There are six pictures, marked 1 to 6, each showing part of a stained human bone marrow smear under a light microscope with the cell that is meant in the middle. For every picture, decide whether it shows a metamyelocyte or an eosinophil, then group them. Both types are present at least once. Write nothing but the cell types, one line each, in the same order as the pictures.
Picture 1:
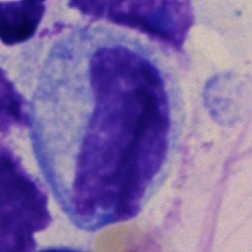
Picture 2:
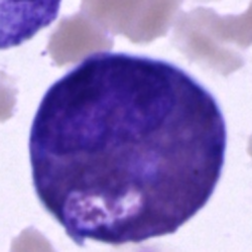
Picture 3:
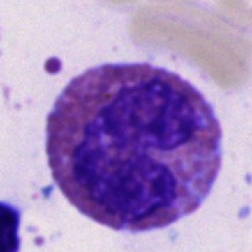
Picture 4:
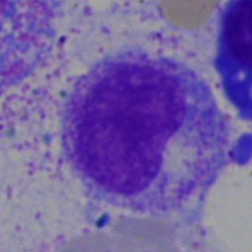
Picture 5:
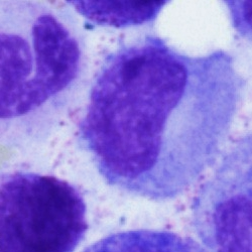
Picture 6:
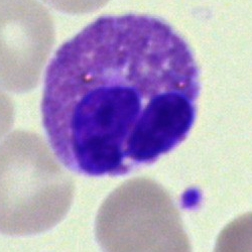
metamyelocyte
eosinophil
eosinophil
metamyelocyte
metamyelocyte
eosinophil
